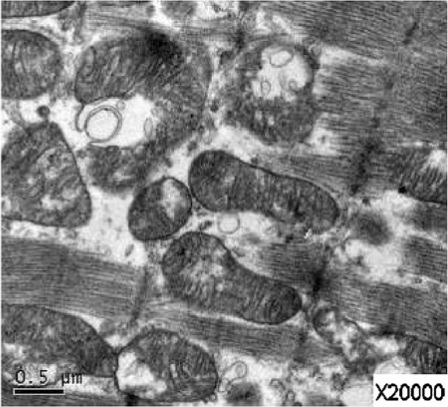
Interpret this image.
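Striated muscle cells at high magnification, with bundles of myofibrils crossed by dark transverse lines and mitochondria lying between them. Many mitochondria are abnormal: their outlines are irregular, and several show pale regions where the cristae are few and widely spaced rather than densely packed. Between the bundles, the cytoplasm contains clear, empty-looking spaces holding small ring-shaped membrane profiles.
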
